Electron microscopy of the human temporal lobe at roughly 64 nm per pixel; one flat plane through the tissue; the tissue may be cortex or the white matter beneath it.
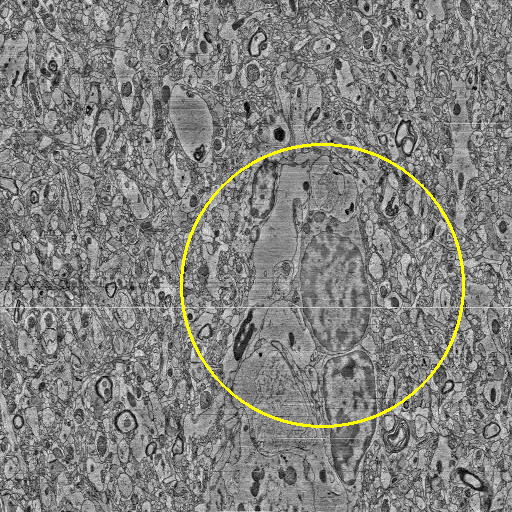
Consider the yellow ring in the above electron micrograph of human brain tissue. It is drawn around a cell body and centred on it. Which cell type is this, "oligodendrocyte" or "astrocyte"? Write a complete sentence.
The cell in question is an oligodendrocyte.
